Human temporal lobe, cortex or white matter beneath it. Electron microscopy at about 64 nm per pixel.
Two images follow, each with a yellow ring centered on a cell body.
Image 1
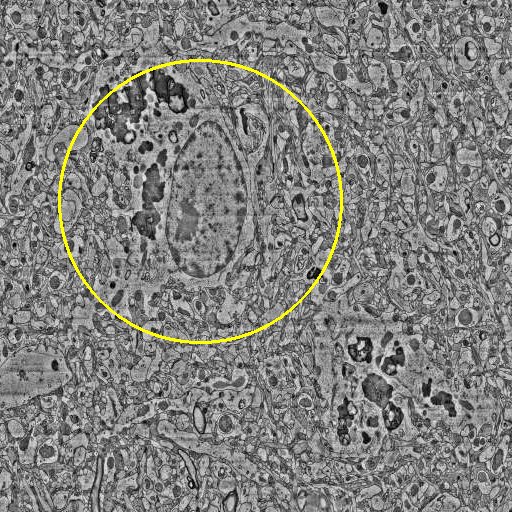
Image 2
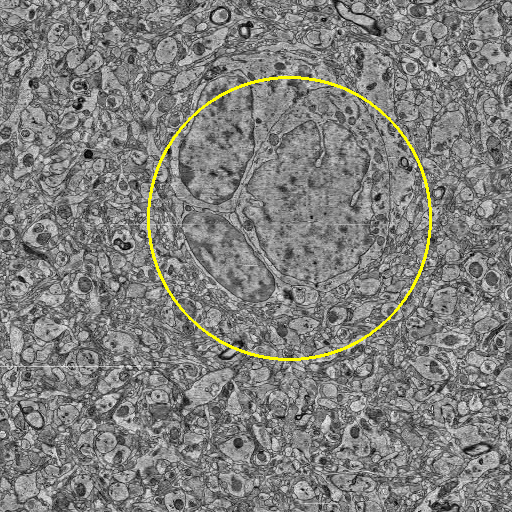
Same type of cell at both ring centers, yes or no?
no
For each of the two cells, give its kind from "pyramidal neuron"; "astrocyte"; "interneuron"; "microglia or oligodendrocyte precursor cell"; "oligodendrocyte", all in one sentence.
The first picture has an astrocyte in its ring, the second has an interneuron.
